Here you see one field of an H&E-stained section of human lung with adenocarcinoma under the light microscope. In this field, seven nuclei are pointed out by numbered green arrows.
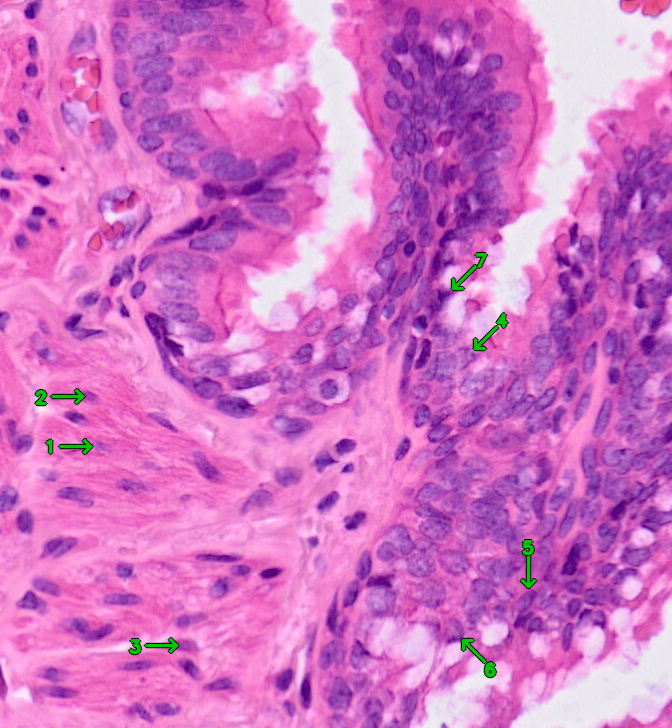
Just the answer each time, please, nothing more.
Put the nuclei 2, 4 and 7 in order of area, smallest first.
2, 4, 7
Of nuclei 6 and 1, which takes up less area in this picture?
1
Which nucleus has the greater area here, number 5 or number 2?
5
